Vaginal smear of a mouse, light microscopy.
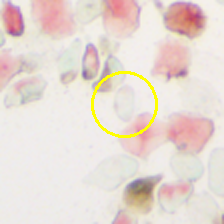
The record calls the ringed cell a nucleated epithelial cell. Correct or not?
Not correct; it is a cornified epithelial cell.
